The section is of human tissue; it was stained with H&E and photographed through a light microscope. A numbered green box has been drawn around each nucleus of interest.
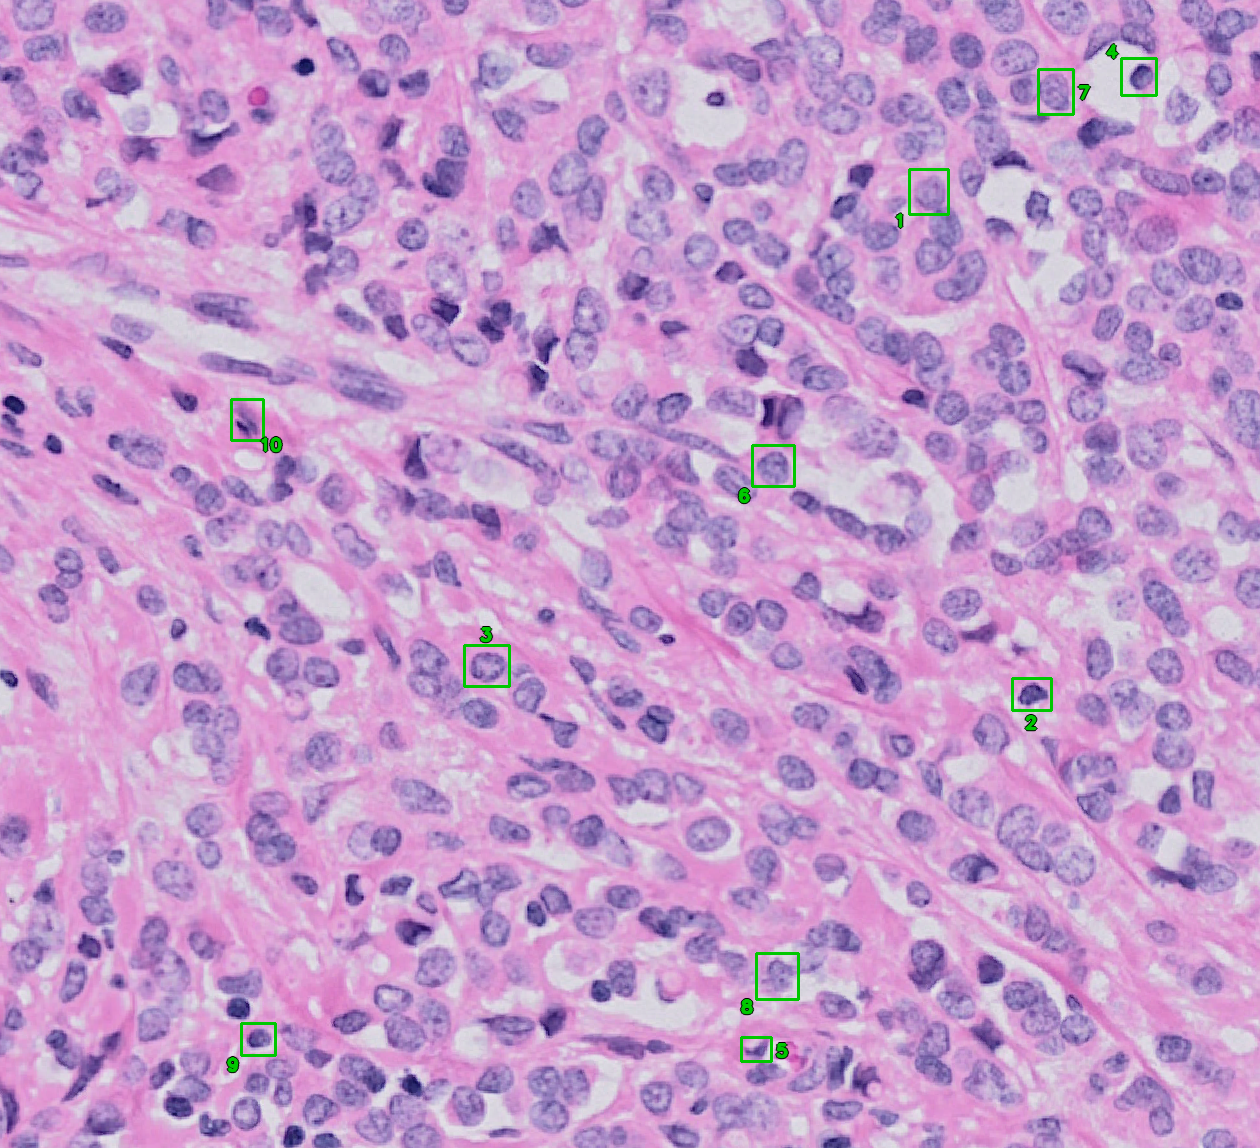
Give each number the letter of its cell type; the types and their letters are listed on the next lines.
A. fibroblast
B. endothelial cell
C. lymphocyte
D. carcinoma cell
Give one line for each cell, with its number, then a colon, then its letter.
1: D
2: C
3: D
4: D
5: B
6: D
7: D
8: D
9: C
10: B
